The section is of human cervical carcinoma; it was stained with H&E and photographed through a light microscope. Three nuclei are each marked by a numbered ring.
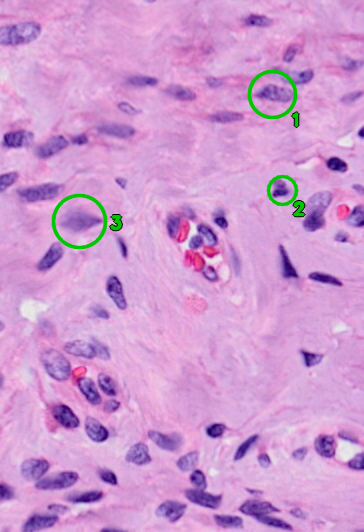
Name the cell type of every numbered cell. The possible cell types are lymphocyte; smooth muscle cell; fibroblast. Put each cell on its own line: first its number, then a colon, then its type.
1: smooth muscle cell
2: fibroblast
3: fibroblast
